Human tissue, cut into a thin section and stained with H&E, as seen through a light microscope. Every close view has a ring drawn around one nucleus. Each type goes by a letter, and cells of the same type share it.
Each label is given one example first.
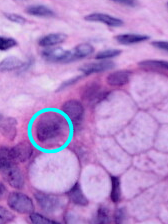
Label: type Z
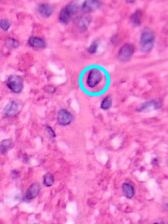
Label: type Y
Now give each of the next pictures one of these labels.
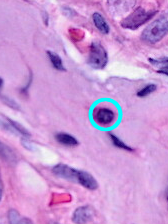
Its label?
type Y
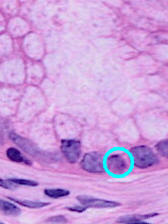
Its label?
type Z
